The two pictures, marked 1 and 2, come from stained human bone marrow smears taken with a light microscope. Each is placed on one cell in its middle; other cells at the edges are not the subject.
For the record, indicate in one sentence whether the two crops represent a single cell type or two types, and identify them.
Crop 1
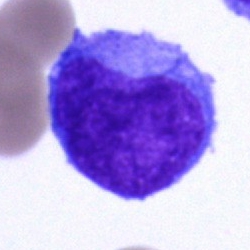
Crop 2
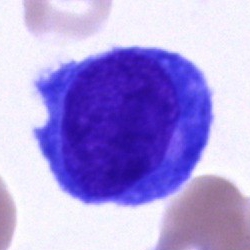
Yes, both crops show blasts as their central cells.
